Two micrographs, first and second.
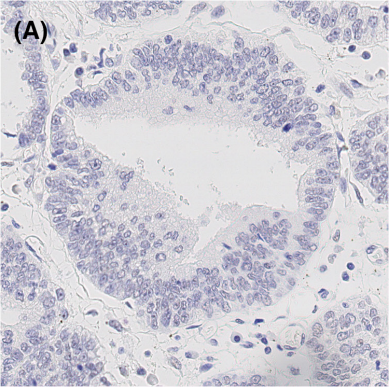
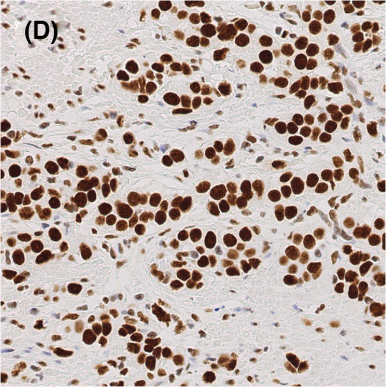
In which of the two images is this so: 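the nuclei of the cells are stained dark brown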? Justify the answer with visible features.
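Second image: nearly all nuclei in the cell clusters are solid dark brown. First image: nuclei lining the gland are blue-grey with no brown colour.
The second image.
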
